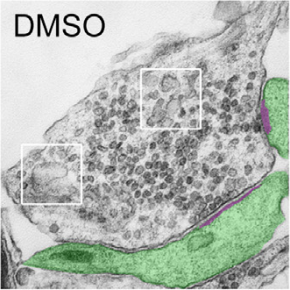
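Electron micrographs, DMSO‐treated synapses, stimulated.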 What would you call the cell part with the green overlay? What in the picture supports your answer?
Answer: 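The green-tinted profile lies against the vesicle-filled terminal. The green profile contains no clustered small vesicles. That points to this answer: postsynaptic compartment.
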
